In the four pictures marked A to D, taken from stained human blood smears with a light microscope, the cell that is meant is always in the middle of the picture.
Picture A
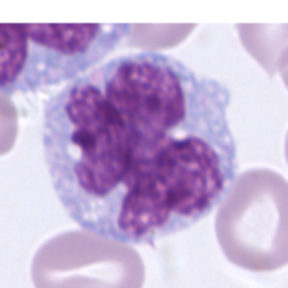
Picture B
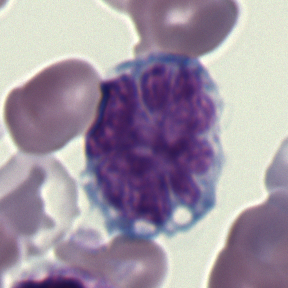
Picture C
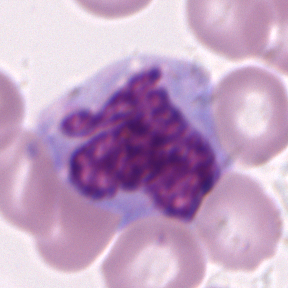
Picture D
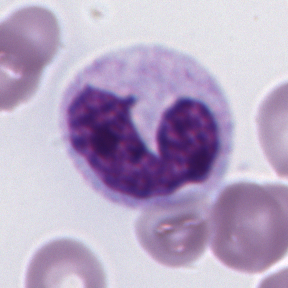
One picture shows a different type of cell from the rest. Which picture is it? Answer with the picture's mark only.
D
